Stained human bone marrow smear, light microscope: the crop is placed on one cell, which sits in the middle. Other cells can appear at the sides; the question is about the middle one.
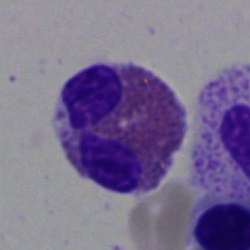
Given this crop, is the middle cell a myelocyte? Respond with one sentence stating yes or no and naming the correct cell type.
No, the cell at the centre is an eosinophil, which rules out a myelocyte.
